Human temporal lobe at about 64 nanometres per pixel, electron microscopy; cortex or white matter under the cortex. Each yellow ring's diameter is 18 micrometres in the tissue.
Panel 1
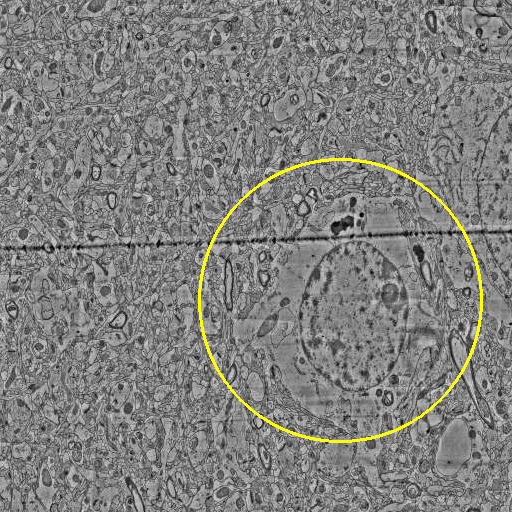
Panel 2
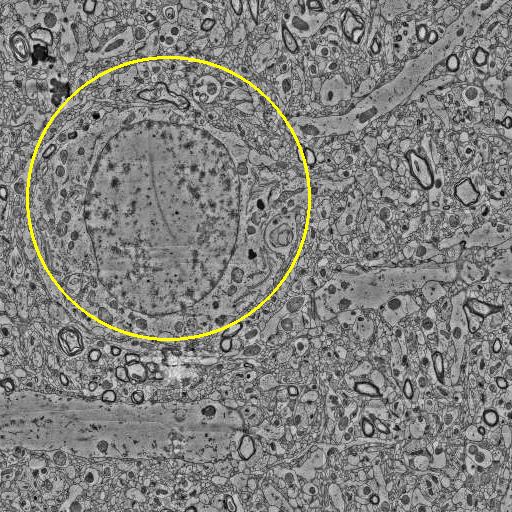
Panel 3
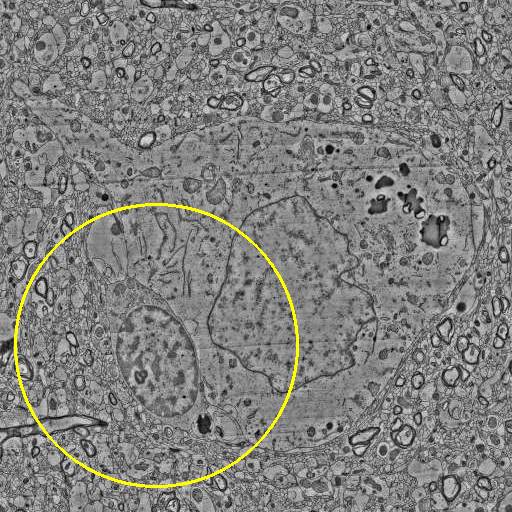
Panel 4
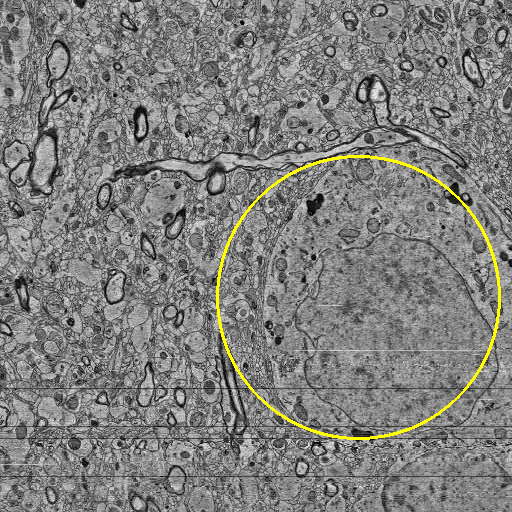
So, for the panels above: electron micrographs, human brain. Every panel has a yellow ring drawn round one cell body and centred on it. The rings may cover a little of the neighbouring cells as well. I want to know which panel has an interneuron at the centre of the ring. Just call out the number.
2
